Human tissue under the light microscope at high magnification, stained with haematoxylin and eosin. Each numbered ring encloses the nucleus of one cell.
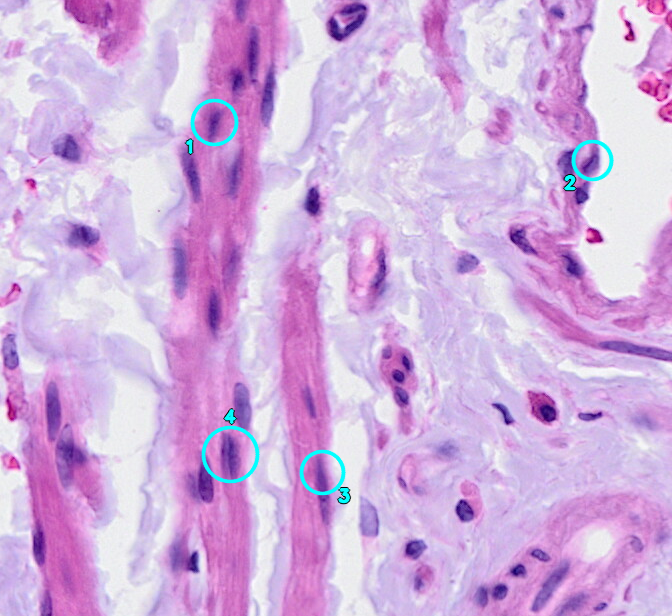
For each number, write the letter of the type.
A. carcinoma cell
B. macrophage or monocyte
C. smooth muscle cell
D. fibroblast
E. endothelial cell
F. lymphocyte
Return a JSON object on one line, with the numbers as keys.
{"1": "C", "2": "E", "3": "C", "4": "C"}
